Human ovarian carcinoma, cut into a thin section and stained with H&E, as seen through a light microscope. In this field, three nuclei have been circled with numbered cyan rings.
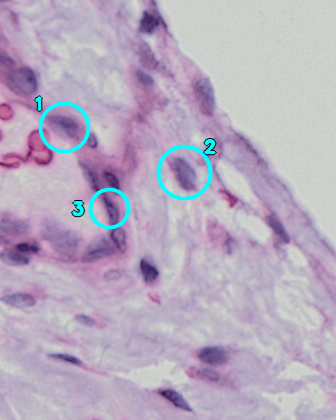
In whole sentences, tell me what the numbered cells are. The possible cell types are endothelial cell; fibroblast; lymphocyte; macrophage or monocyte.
Cell 1 is an endothelial cell, cell 2 is a fibroblast and cell 3 is an endothelial cell.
